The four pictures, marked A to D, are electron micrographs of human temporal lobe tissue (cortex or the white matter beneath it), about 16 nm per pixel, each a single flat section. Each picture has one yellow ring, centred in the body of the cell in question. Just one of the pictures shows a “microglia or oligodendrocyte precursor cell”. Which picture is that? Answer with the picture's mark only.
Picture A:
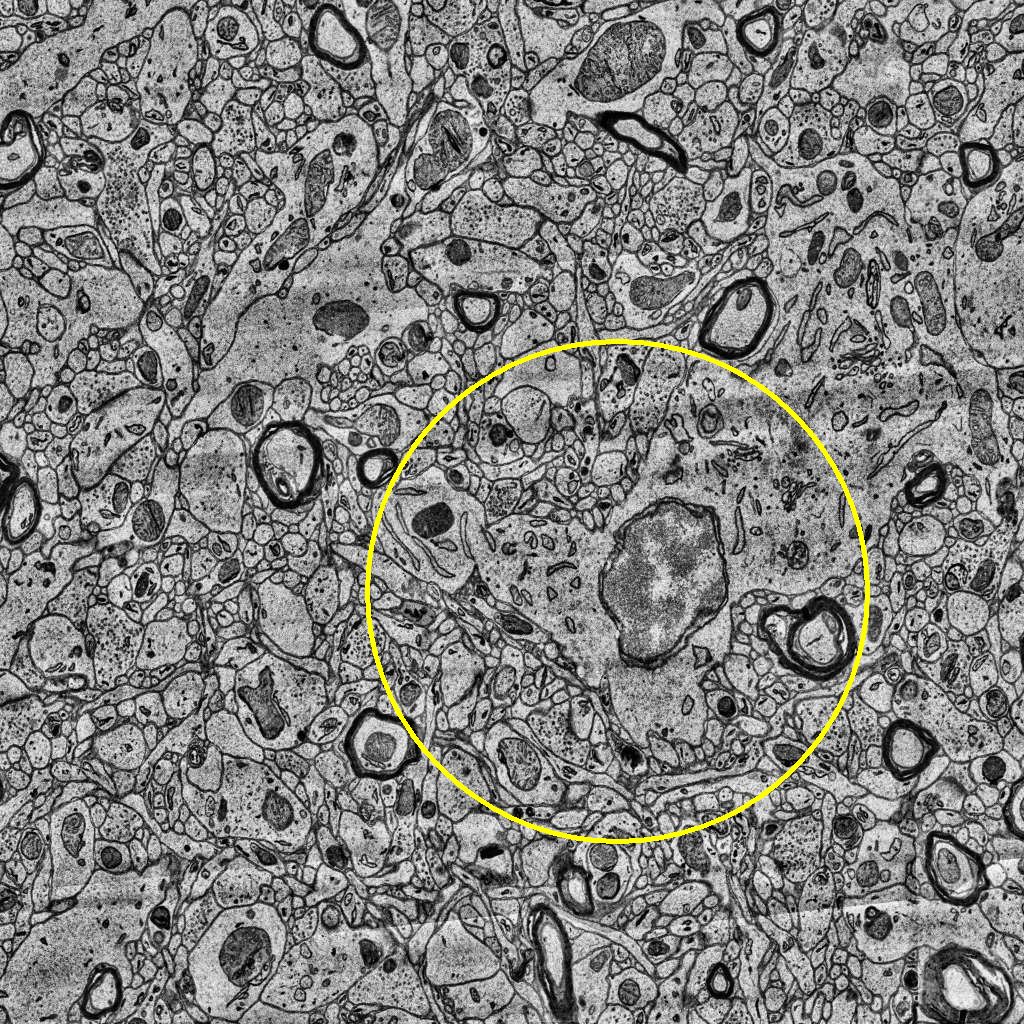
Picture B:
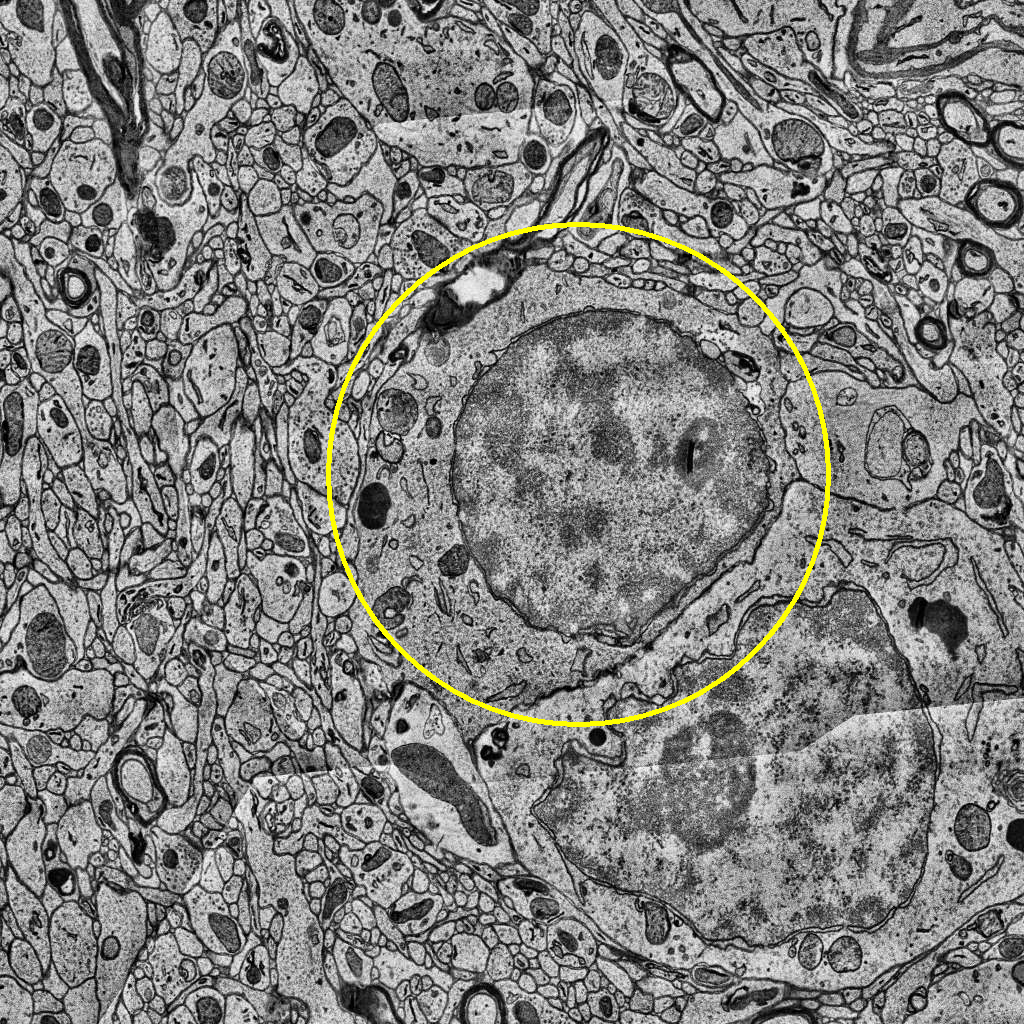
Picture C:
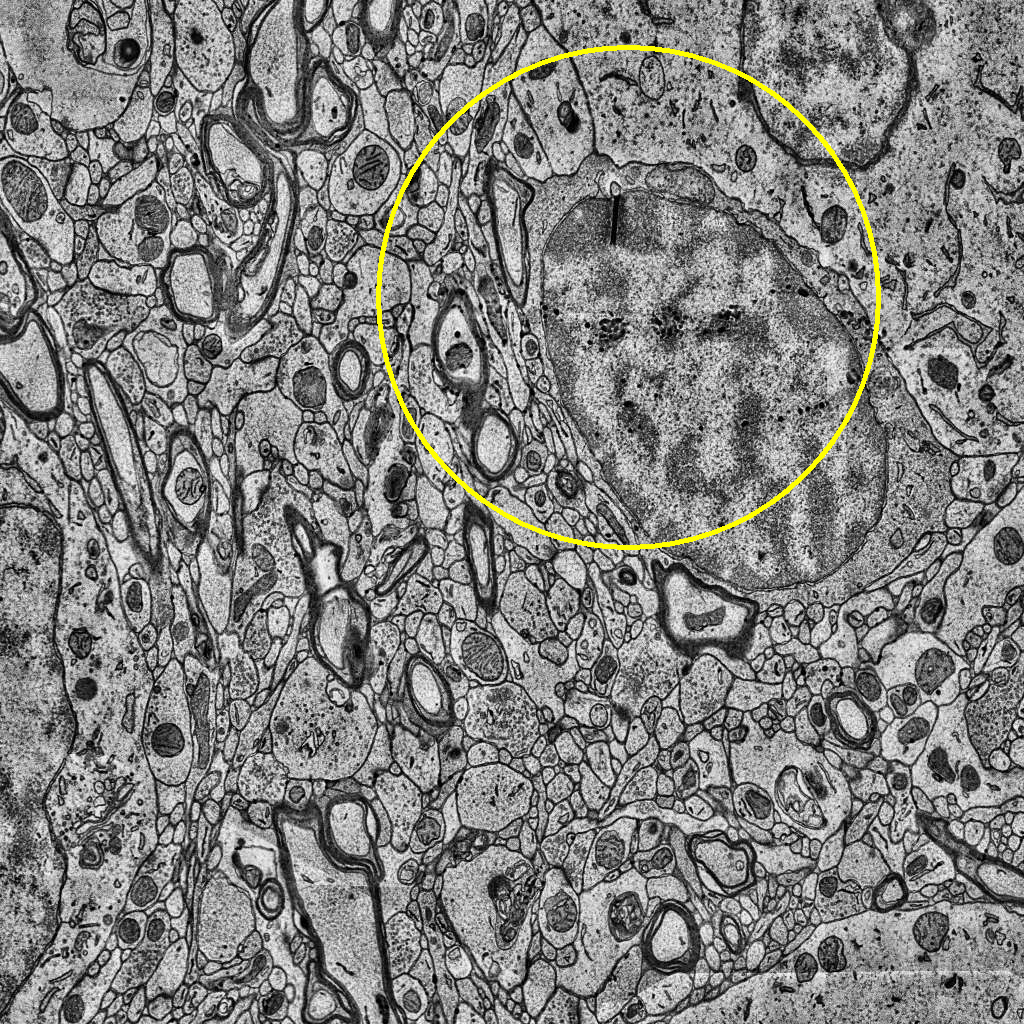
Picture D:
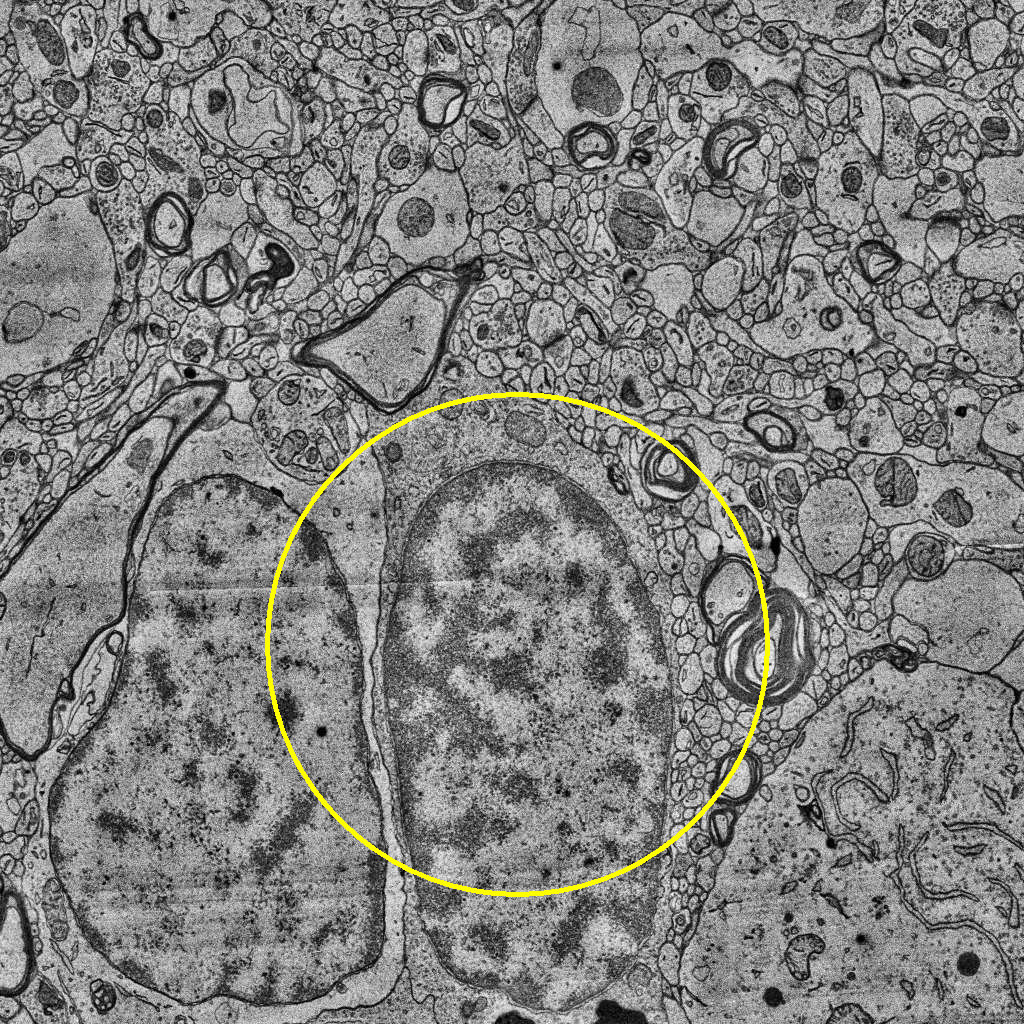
A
